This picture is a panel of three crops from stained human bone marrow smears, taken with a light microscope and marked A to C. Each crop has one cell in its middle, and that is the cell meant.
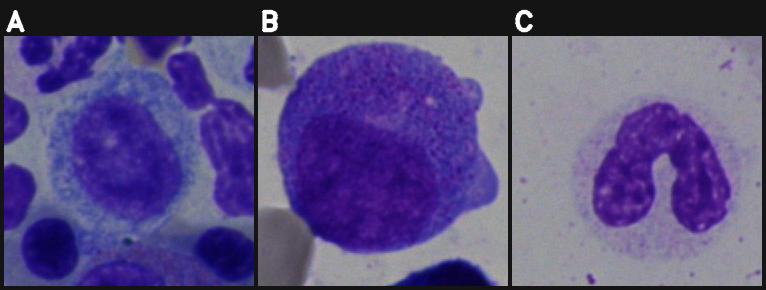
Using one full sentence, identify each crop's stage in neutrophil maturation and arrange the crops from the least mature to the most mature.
From youngest to most mature, the cells go crop B (a promyelocyte), crop A (a myelocyte) and crop C (a band neutrophil).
